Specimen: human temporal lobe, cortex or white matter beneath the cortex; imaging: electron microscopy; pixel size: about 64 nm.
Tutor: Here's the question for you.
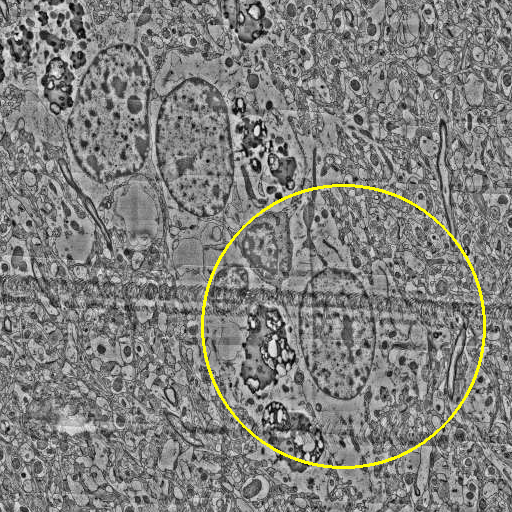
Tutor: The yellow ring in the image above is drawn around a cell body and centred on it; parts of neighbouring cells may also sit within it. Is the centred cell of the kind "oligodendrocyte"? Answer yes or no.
no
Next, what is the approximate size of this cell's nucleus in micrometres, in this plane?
Roughly 8 by 5 micrometers, clearly longer than it is wide in this plane.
